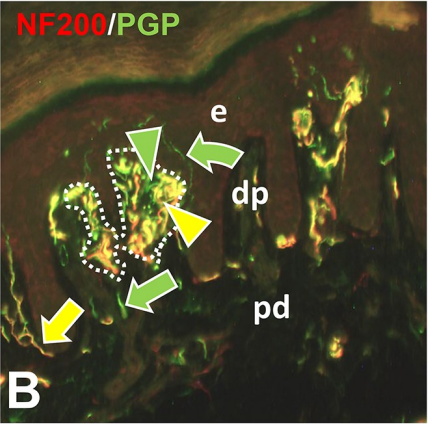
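This is skin with the epidermis along the top and finger-like dermal papillae reaching up into it from the papillary dermis. Thin green and yellow nerve fibers run through the dermis and into the papillae, some wavy and beaded. One papilla on the left is filled with a dense tangle of very fine fibers, many yellow and some green, set off by a dotted outline.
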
